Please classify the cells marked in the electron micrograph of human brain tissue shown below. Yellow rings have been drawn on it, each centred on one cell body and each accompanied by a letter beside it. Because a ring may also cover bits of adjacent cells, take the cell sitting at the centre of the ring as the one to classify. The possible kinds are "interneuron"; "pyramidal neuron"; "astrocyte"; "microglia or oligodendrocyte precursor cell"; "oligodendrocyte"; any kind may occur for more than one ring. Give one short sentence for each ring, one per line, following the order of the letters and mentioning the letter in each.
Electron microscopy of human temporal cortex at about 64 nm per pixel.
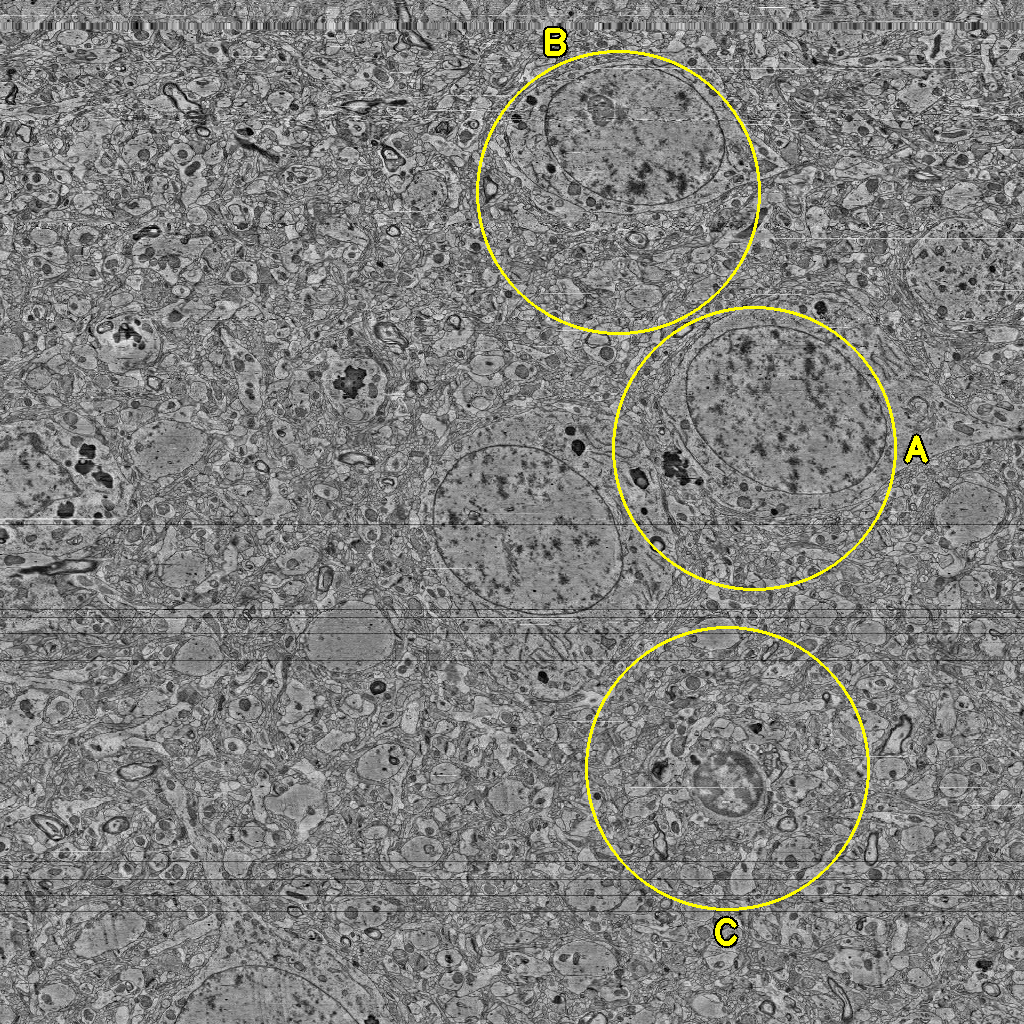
Ring A marks the cell body of a pyramidal neuron.
Ring B marks the cell body of a pyramidal neuron.
Ring C marks the cell body of an oligodendrocyte.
